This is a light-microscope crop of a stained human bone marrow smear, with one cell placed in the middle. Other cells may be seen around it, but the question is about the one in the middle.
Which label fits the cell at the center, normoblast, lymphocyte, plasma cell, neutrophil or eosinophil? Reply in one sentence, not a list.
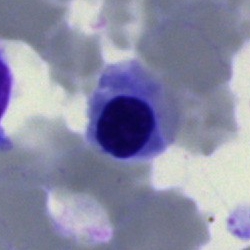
What sits at the centre of this crop is a normoblast.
